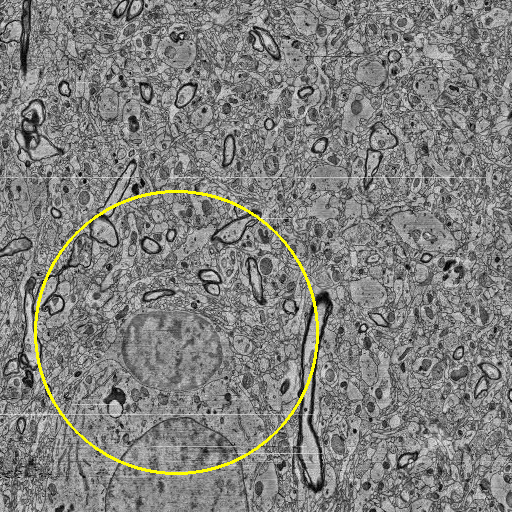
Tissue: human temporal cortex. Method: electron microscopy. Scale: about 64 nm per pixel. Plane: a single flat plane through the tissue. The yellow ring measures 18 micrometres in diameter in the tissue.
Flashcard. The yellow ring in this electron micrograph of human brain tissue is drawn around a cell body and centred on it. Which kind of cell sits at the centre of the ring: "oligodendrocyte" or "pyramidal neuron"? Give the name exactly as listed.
oligodendrocyte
